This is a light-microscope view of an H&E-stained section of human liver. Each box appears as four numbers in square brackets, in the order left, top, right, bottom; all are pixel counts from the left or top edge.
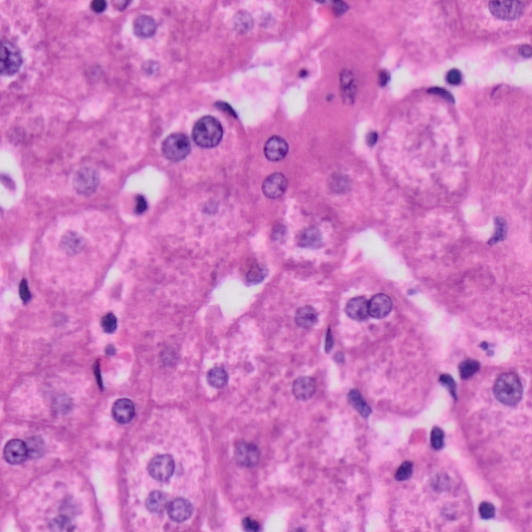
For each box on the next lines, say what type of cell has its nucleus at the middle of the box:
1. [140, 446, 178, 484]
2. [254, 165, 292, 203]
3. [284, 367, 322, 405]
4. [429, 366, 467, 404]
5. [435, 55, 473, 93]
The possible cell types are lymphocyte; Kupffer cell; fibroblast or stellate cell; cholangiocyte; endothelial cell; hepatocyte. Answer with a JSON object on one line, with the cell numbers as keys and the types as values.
{"1": "hepatocyte", "2": "hepatocyte", "3": "hepatocyte", "4": "endothelial cell", "5": "lymphocyte"}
